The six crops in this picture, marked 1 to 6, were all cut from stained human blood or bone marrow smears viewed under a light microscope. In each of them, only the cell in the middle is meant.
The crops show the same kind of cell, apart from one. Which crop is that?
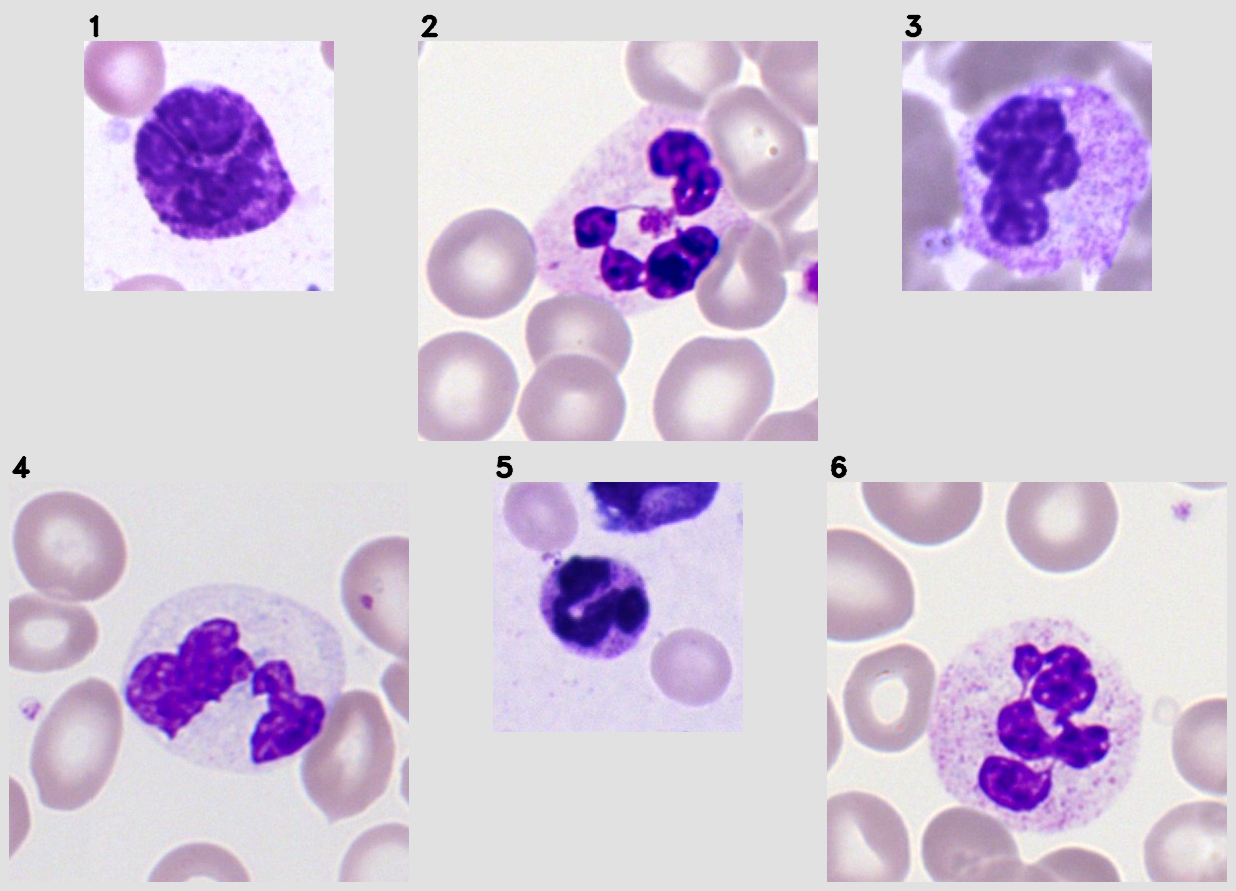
1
